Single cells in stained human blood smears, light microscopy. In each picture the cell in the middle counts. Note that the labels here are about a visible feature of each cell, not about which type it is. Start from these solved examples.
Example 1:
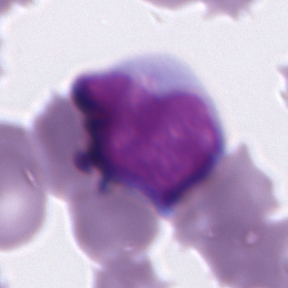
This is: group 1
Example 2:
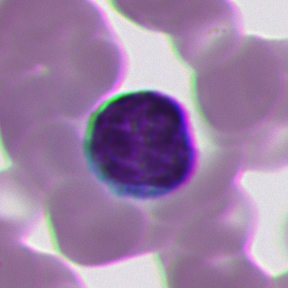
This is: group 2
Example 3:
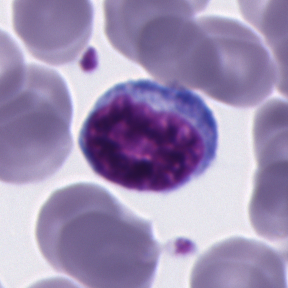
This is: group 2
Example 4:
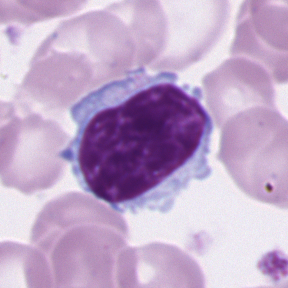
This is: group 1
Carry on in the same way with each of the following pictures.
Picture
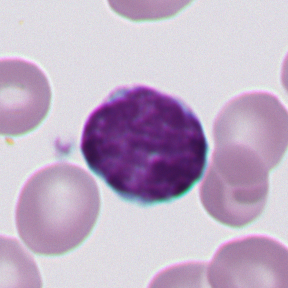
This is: group 2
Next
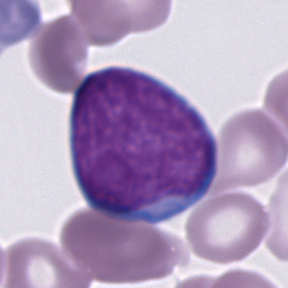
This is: group 2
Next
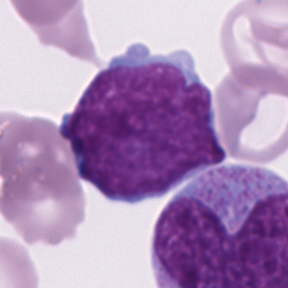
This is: group 1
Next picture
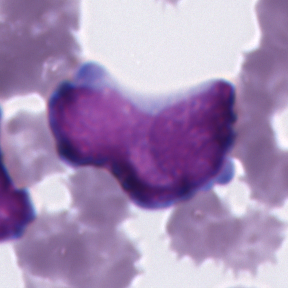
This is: group 1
